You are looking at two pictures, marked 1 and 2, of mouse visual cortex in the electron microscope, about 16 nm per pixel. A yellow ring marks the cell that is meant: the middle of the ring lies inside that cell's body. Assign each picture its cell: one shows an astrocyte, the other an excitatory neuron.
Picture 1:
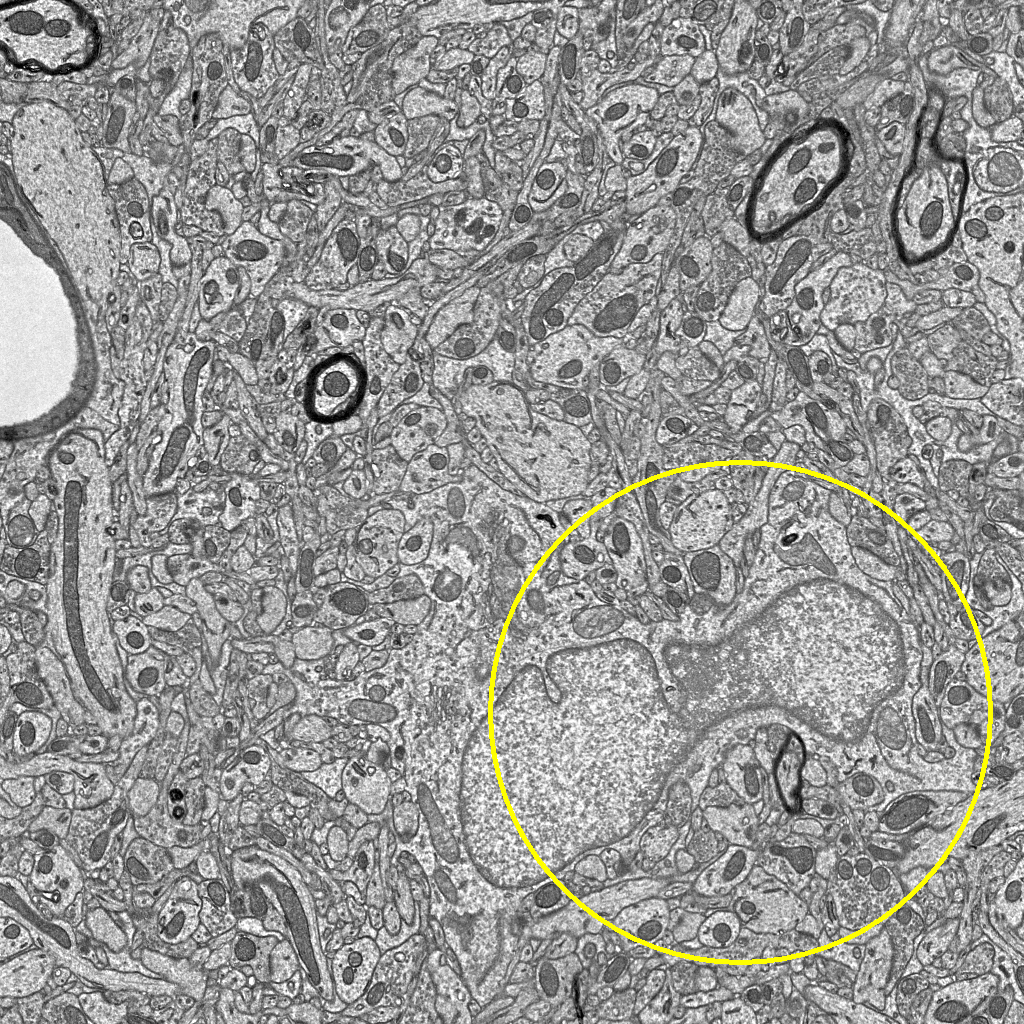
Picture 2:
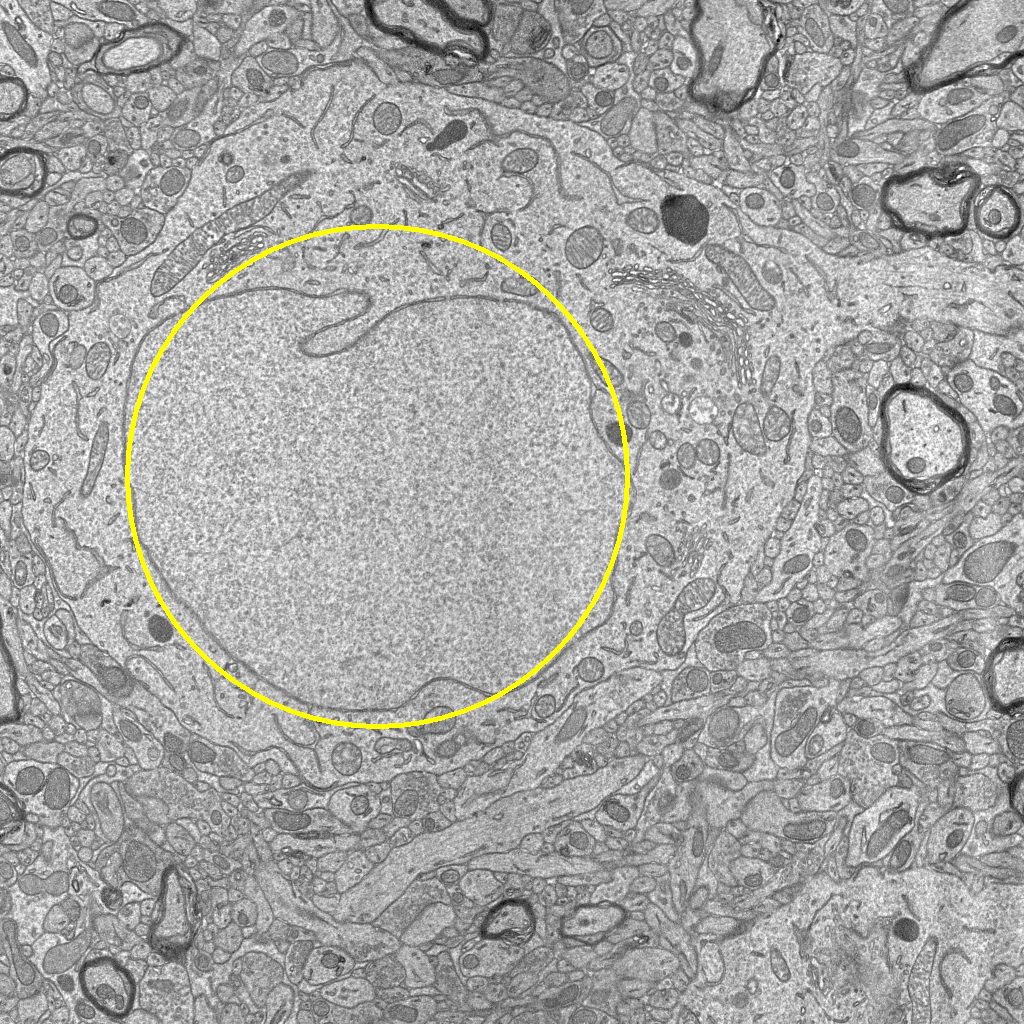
Picture 1 is of an astrocyte, and picture 2 is of an excitatory neuron.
